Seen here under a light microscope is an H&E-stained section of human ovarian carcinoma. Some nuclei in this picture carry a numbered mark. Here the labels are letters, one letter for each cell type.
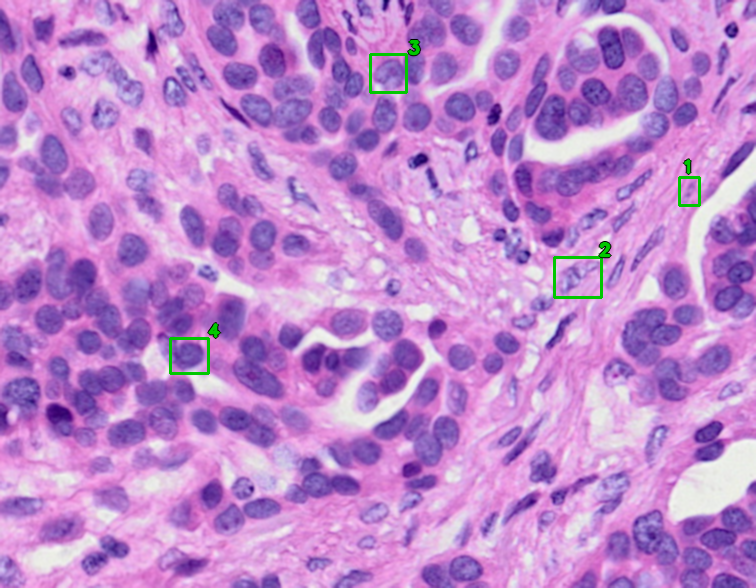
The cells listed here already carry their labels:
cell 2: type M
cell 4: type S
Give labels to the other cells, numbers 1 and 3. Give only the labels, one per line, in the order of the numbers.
type M
type S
